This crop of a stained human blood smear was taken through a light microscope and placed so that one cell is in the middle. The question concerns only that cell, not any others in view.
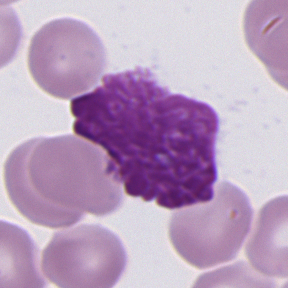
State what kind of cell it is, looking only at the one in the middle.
smudge cell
